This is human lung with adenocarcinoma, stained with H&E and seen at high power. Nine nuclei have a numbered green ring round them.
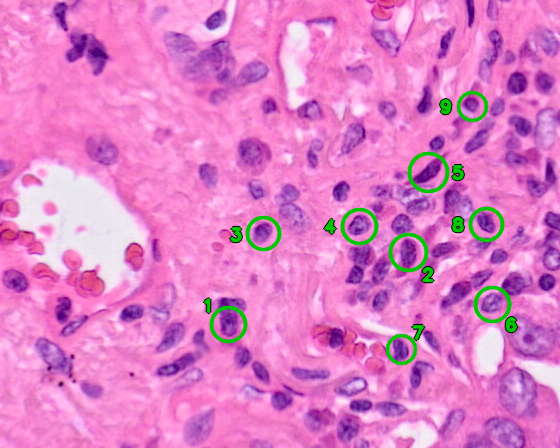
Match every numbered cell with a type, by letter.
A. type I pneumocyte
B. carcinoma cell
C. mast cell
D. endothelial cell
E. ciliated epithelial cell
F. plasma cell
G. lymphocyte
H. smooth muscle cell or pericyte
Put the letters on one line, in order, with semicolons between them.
F; F; G; C; F; G; G; G; F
